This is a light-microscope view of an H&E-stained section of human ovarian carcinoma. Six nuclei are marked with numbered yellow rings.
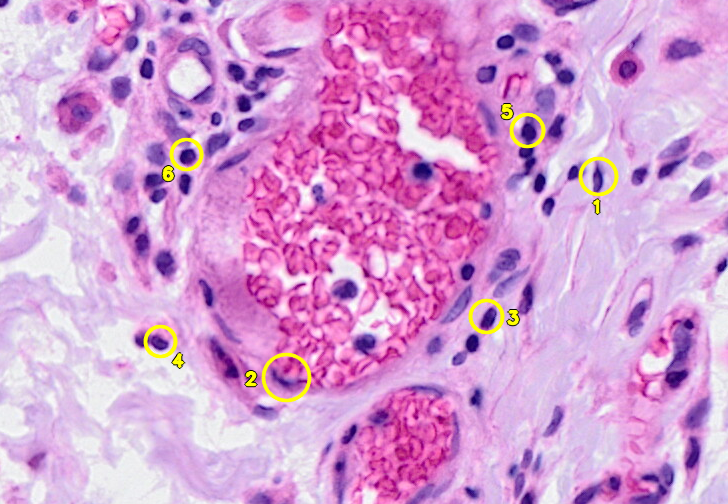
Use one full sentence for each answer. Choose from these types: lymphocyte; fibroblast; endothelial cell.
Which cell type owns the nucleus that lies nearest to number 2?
Number 2 lies closest to the nucleus of a fibroblast.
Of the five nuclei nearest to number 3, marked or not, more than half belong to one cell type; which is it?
Of the five nuclei nearest to number 3, most belong to fibroblasts.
